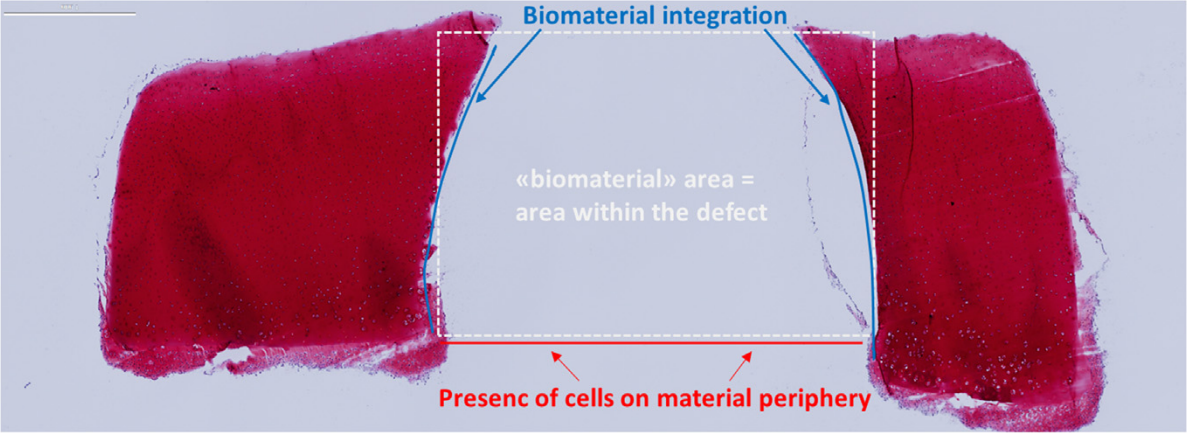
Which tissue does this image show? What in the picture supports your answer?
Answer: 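Two blocks of dense matrix stained intensely red. Small cells sit singly in rounded spaces scattered through the red matrix. The matrix contains no vessels. On this evidence: cartilage.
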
